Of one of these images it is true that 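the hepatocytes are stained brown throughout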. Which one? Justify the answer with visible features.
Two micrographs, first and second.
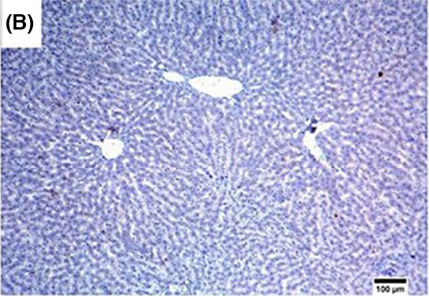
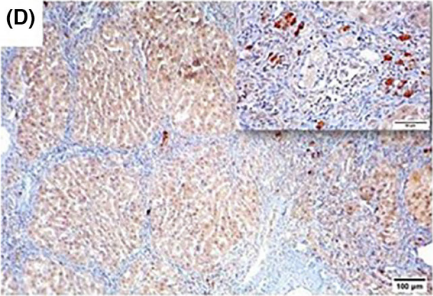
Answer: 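Second image: the liver cells show widespread light brown colour with scattered dark brown cells. First image: the liver cells are blue only, with no brown colour.
Answer: the second image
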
